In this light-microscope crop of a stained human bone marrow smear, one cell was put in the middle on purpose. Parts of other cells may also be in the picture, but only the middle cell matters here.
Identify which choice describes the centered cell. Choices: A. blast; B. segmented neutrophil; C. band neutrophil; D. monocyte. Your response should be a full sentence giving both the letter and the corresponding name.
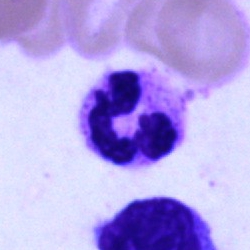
Here the central cell is a segmented neutrophil, and option B is correct.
